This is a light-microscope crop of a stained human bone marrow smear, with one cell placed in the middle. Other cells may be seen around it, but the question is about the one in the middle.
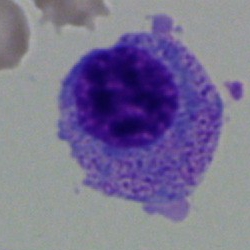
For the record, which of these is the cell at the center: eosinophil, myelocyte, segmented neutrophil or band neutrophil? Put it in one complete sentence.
The crop shows a myelocyte in its centre.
